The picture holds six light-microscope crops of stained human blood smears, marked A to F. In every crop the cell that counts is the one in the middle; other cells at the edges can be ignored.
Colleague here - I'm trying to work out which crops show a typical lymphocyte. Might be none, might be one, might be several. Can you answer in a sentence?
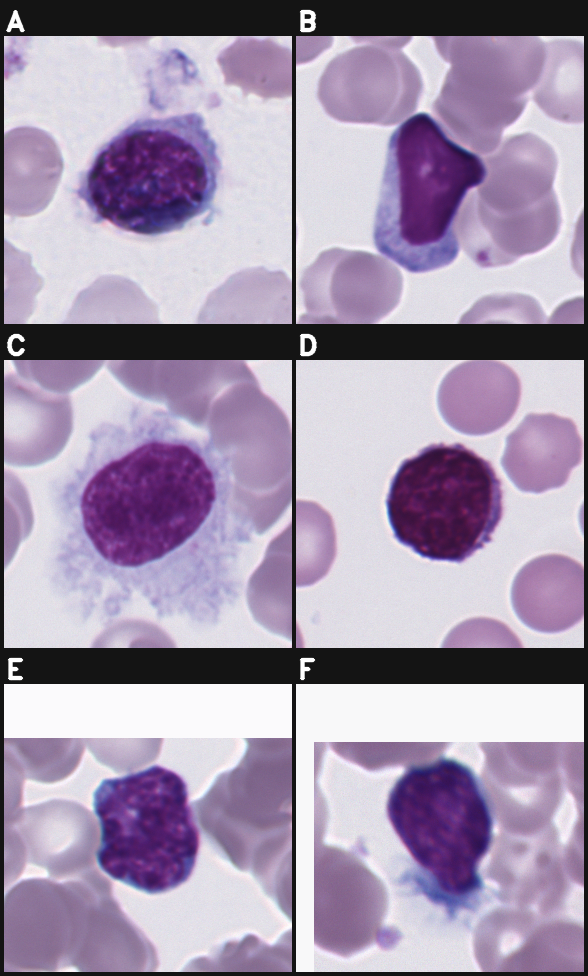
Crops B, D, E and F are the ones showing typical lymphocytes.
